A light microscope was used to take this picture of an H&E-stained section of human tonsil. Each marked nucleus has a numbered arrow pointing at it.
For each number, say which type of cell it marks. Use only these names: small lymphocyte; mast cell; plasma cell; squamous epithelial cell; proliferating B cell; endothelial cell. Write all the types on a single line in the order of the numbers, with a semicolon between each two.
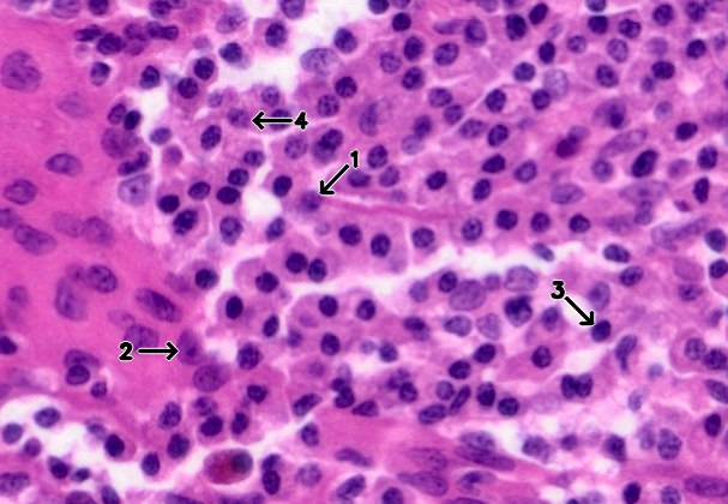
plasma cell; squamous epithelial cell; plasma cell; plasma cell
